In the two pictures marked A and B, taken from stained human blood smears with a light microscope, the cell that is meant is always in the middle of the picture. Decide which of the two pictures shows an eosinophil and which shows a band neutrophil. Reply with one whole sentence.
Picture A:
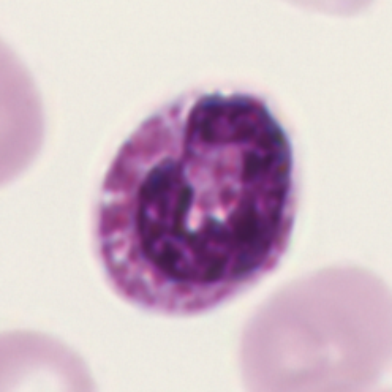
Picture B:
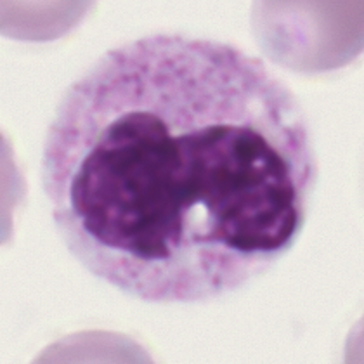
Picture B shows a band neutrophil, while picture A shows an eosinophil.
